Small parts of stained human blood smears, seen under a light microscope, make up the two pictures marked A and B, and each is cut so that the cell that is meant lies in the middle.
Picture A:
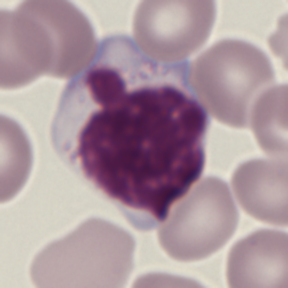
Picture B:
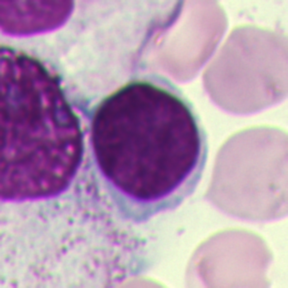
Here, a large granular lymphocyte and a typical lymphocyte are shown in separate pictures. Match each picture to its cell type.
A: large granular lymphocyte
B: typical lymphocyte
